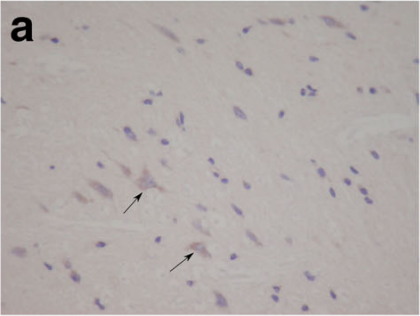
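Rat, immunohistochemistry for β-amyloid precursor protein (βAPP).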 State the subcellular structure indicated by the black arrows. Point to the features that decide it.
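Arrows point to cell bodies with faint brown cytoplasm. The brown stain stays within the cell body and does not extend into long processes.
Hence: neuronal soma.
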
